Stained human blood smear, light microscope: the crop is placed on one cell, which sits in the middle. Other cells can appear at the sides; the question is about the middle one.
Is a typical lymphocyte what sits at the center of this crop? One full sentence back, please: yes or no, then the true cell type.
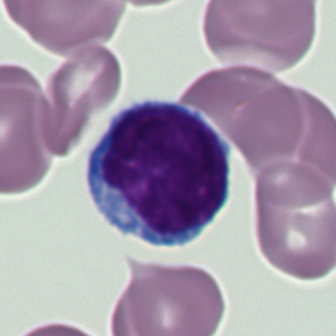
Yes, the cell here in the middle is a typical lymphocyte.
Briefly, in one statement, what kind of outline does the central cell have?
The outline traces a smooth curve with no projections along it.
